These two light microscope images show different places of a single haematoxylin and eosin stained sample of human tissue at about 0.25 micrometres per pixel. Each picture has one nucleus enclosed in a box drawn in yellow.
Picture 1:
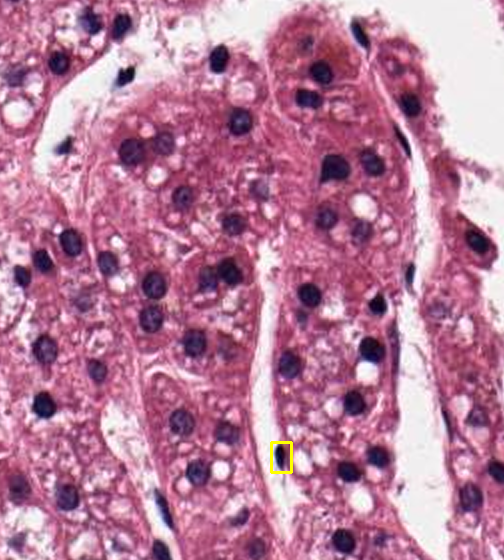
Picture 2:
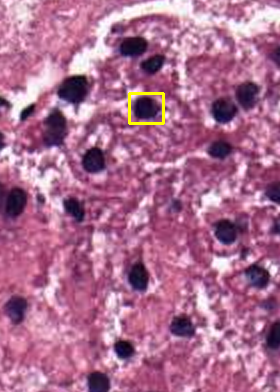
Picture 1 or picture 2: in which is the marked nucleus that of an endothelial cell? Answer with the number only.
1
